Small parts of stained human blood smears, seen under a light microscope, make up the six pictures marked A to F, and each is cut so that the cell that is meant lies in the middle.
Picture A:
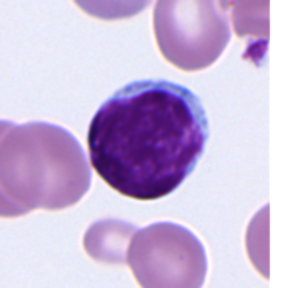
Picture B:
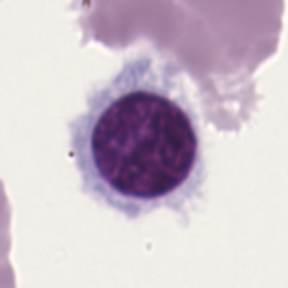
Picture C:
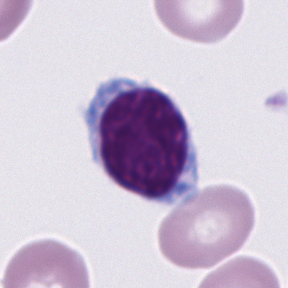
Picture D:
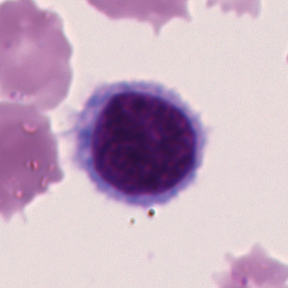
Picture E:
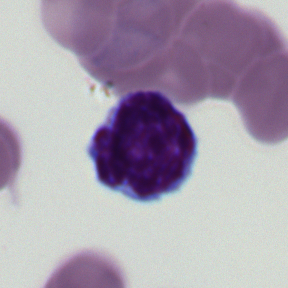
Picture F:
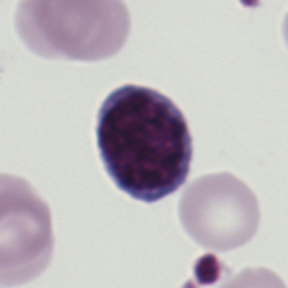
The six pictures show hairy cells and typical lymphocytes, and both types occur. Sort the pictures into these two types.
A: typical lymphocyte
B: hairy cell
C: typical lymphocyte
D: hairy cell
E: typical lymphocyte
F: typical lymphocyte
